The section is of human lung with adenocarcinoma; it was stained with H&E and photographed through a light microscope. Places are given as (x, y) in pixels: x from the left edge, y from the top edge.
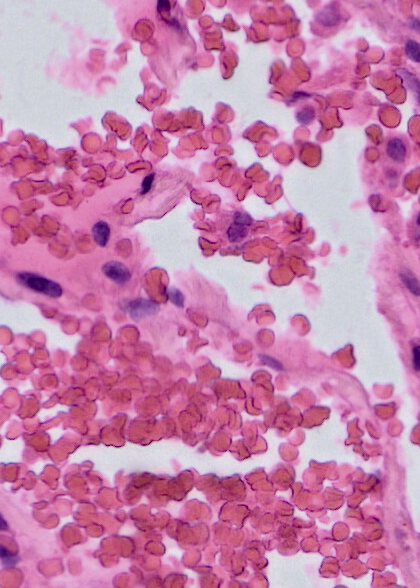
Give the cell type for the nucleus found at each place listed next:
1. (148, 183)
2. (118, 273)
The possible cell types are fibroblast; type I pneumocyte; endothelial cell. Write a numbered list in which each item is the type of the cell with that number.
1. endothelial cell
2. type I pneumocyte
